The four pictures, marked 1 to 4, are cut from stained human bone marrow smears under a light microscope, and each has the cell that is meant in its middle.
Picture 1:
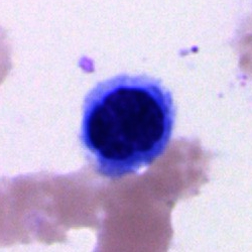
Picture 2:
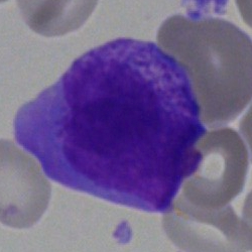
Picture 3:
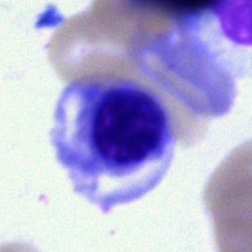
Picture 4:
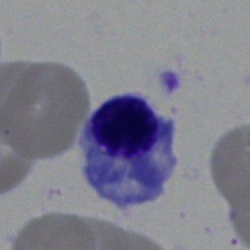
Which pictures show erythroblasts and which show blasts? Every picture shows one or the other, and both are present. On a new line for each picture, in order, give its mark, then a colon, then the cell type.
1: erythroblast
2: blast
3: erythroblast
4: erythroblast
